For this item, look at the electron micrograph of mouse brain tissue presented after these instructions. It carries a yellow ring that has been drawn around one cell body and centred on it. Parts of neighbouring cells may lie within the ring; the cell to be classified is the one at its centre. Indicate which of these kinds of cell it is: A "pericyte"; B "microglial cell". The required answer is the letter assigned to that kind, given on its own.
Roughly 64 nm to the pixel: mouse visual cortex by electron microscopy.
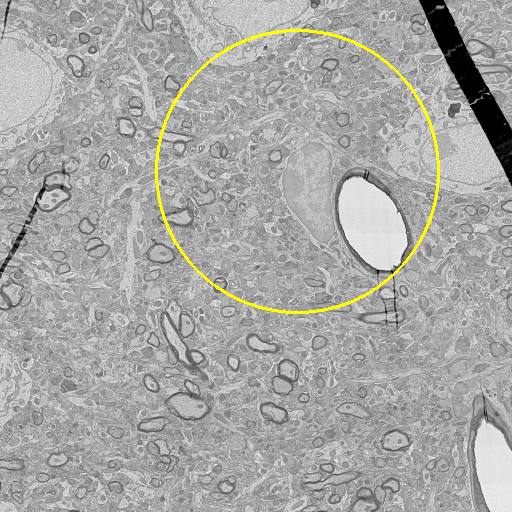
B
